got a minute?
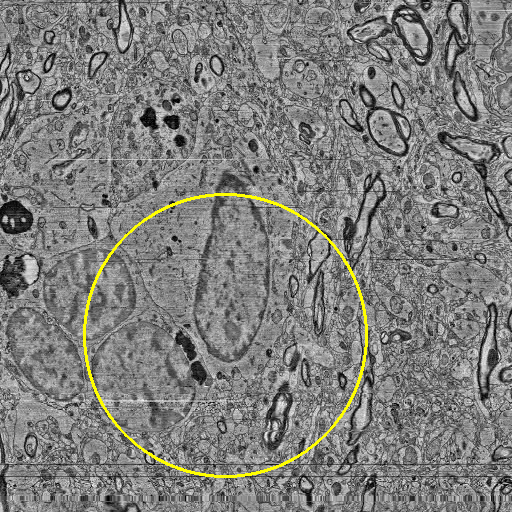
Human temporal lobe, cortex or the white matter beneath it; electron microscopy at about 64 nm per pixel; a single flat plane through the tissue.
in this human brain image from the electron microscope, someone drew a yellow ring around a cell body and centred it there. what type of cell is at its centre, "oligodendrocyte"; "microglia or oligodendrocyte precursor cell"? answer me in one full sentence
It's a microglial cell or oligodendrocyte precursor cell at the middle of that yellow ring in the shot.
